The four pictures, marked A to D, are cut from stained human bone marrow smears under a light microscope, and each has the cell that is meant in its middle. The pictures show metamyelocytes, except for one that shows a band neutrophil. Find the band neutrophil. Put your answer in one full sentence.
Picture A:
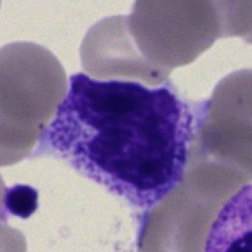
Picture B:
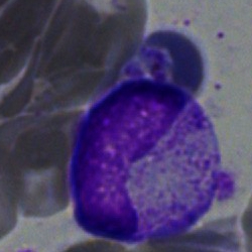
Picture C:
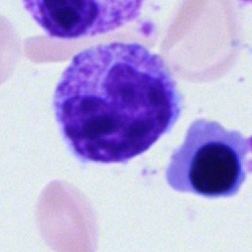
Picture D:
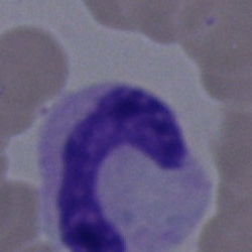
Picture D shows the band neutrophil.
